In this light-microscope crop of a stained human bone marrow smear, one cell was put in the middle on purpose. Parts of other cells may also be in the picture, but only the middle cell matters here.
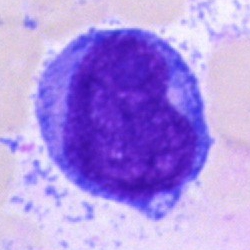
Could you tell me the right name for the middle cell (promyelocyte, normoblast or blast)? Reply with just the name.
blast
